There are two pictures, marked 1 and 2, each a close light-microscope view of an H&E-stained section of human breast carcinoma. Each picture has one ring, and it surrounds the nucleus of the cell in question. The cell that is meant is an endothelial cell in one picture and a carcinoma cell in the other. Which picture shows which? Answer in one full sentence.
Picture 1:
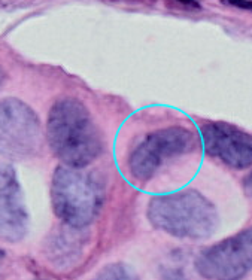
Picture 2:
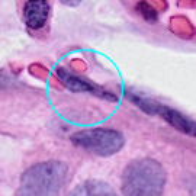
It is picture 1 that shows a carcinoma cell, and picture 2 that shows an endothelial cell.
